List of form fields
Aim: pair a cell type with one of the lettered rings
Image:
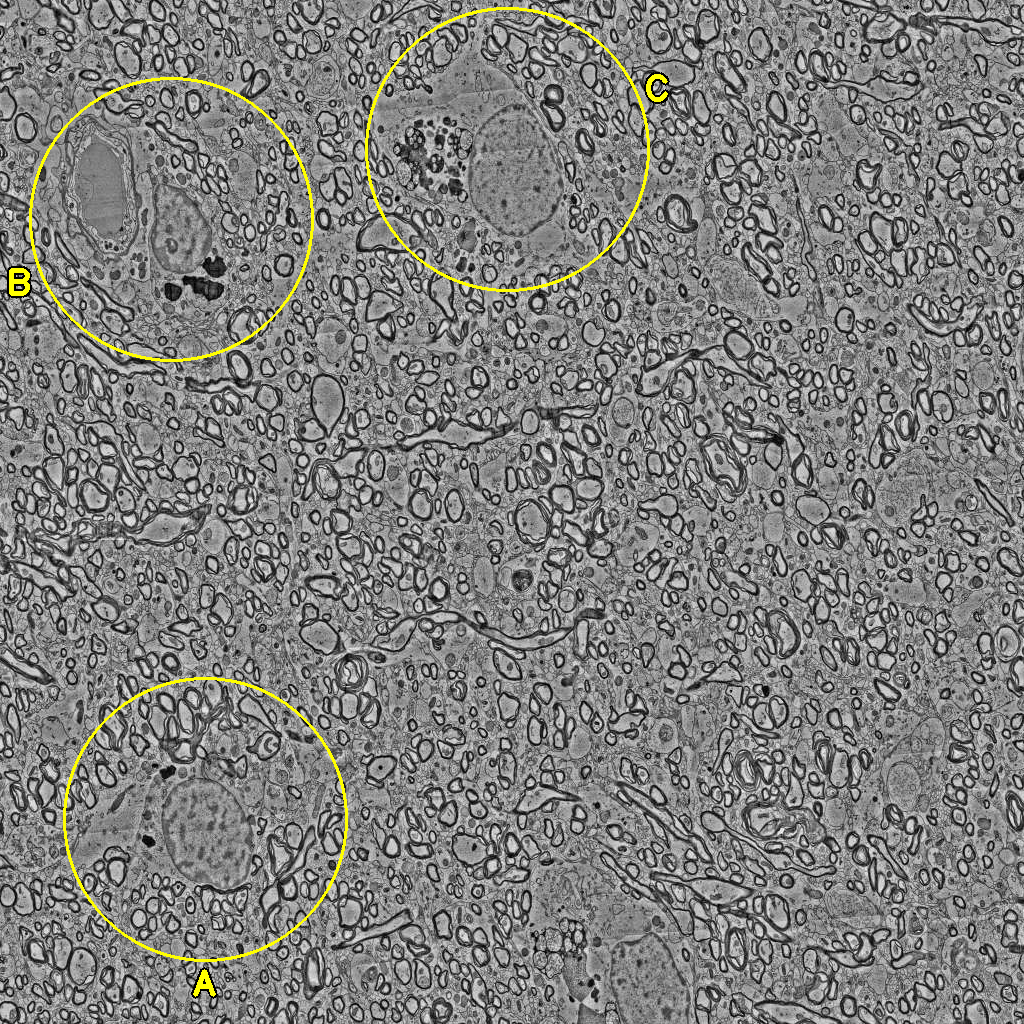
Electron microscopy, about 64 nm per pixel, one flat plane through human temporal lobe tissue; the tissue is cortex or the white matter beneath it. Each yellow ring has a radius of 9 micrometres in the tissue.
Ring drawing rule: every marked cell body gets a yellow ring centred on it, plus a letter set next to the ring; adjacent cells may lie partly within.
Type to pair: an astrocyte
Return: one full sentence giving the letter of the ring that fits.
Ring C is the one whose central cell body is that kind of cell.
